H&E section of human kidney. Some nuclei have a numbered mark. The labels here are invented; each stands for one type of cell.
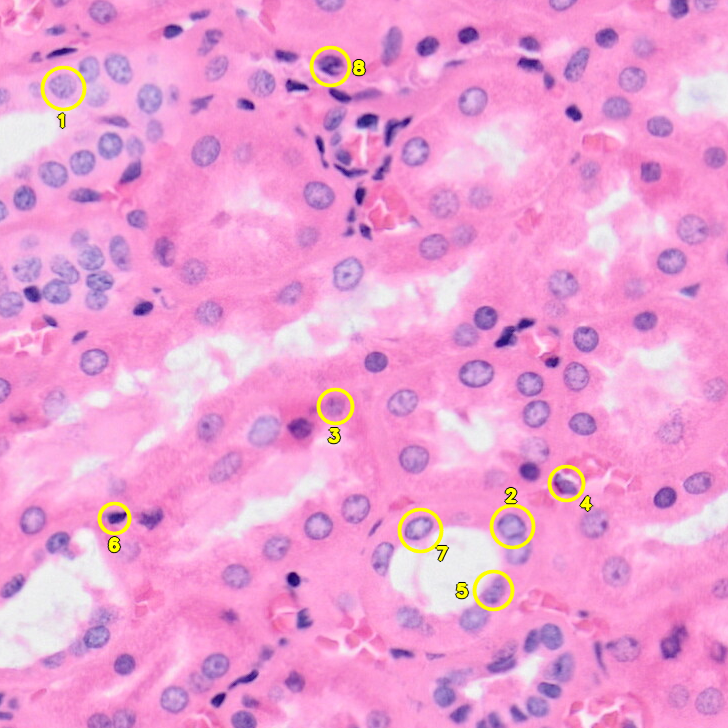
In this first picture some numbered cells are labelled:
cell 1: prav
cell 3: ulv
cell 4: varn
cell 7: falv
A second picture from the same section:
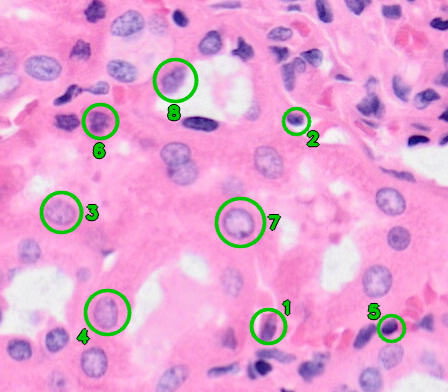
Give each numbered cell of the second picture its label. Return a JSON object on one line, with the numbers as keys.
{"1": "varn", "2": "varn", "3": "ulv", "4": "ulv", "5": "varn", "6": "ulv", "7": "ulv", "8": "falv"}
